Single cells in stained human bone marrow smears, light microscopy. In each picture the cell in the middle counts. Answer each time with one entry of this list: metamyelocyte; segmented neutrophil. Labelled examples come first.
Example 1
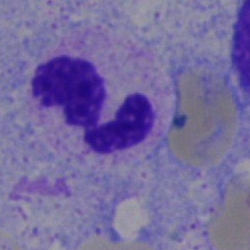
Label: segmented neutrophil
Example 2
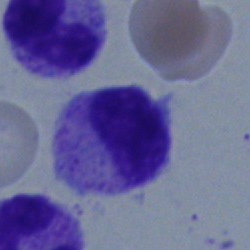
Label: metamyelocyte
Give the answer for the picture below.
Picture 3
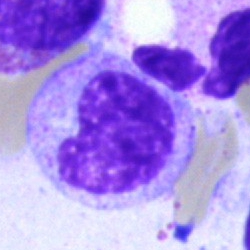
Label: metamyelocyte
